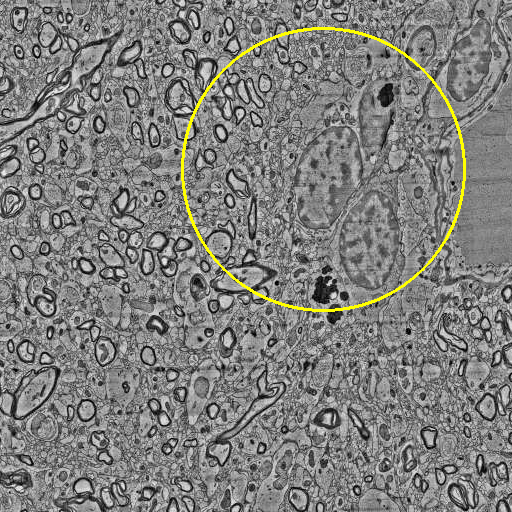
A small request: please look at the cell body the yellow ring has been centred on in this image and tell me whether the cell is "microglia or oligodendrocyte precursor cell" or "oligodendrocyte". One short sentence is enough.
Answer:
The cell marked by the ring is a microglial cell or oligodendrocyte precursor cell.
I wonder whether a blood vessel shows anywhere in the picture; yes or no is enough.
Yes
